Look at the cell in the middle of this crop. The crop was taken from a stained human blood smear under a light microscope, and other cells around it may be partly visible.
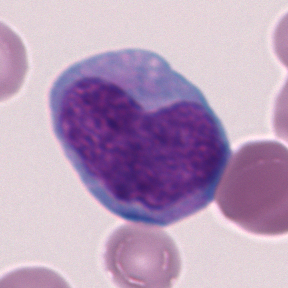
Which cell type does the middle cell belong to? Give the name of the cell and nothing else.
atypical promyelocyte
